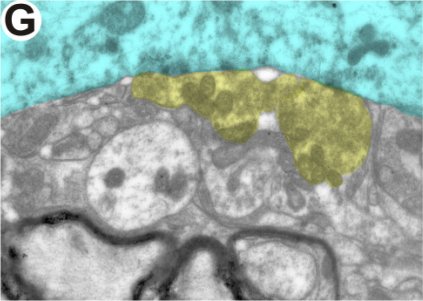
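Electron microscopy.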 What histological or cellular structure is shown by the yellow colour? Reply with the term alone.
Terminals.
